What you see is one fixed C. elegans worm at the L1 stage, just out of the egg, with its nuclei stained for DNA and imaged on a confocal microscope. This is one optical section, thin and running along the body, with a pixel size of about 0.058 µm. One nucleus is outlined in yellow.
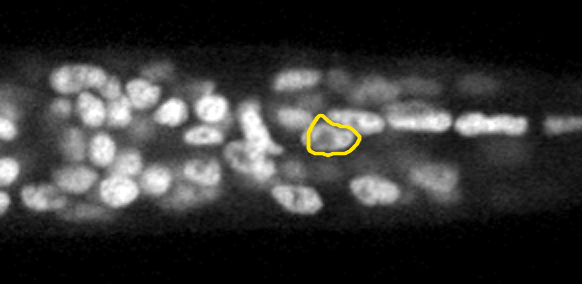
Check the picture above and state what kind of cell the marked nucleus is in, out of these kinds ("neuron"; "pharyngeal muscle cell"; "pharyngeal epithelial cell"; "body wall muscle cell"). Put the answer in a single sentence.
The marked nucleus is that of a pharyngeal muscle cell.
